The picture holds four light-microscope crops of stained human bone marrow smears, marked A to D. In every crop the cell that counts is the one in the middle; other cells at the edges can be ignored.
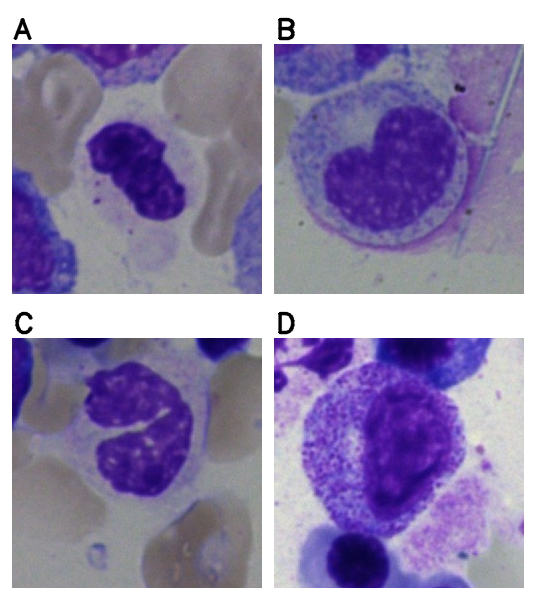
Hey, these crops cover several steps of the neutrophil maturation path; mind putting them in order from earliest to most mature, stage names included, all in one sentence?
When lined up from least to most mature, the crops are crop D (a myelocyte), crop B (a metamyelocyte), crop A (a band neutrophil) and crop C (a segmented neutrophil).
